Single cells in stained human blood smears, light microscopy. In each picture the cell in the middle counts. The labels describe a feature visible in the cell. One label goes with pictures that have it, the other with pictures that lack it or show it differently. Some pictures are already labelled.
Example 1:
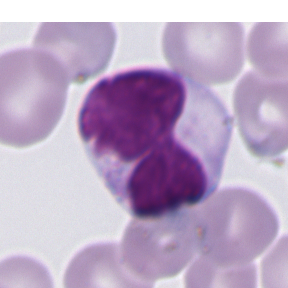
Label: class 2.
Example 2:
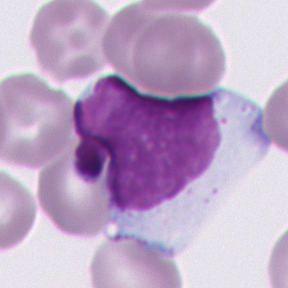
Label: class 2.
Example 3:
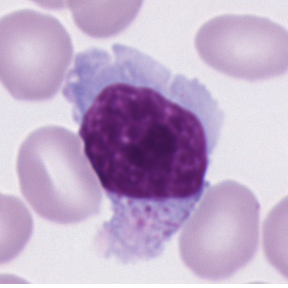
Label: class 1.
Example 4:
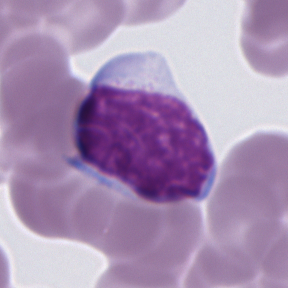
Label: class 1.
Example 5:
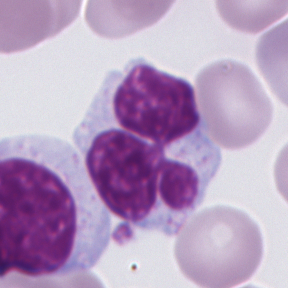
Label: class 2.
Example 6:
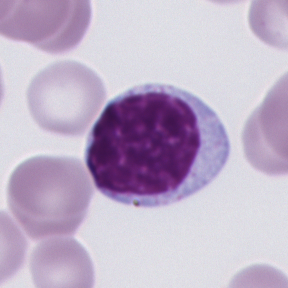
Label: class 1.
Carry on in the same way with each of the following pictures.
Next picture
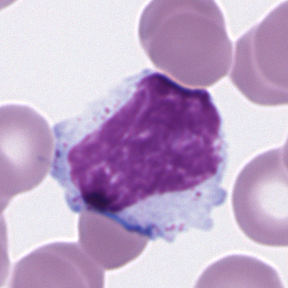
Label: class 1.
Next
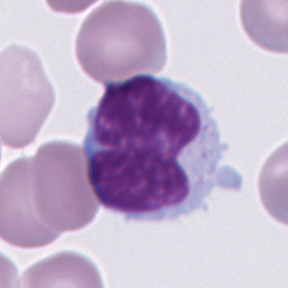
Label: class 2.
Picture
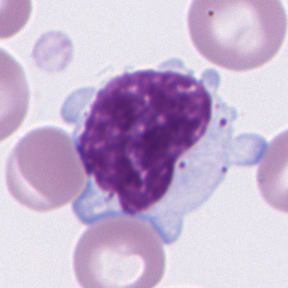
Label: class 1.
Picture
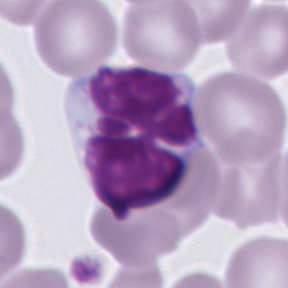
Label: class 2.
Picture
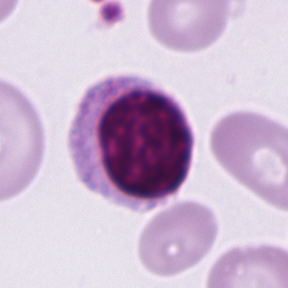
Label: class 1.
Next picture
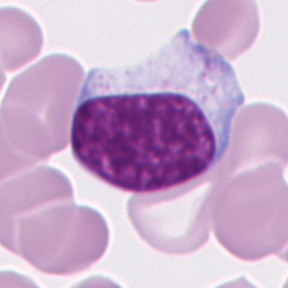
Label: class 1.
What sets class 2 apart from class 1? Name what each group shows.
class 2, lobed nucleus; class 1, single compact nucleus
